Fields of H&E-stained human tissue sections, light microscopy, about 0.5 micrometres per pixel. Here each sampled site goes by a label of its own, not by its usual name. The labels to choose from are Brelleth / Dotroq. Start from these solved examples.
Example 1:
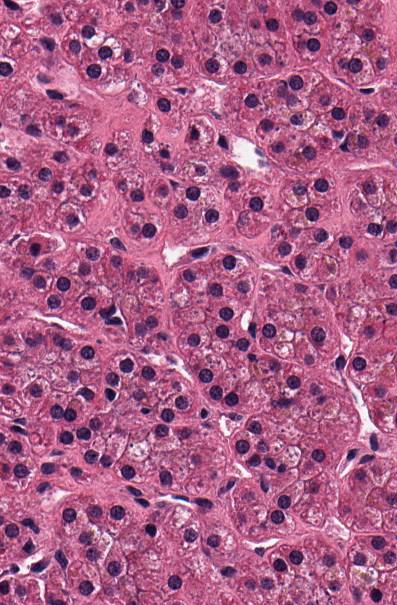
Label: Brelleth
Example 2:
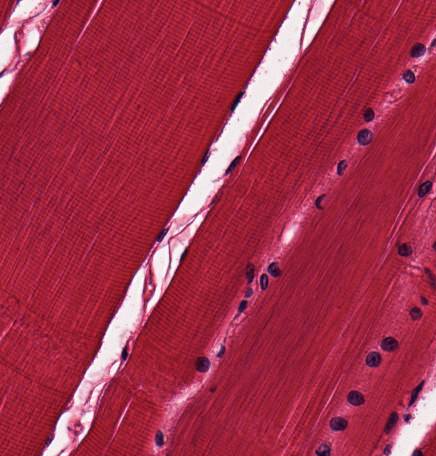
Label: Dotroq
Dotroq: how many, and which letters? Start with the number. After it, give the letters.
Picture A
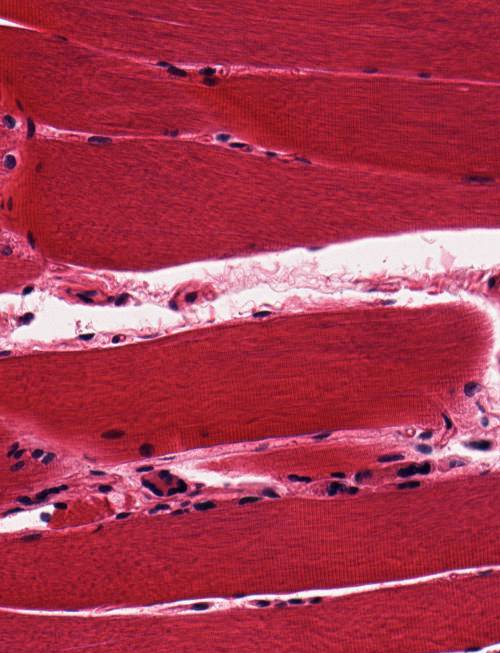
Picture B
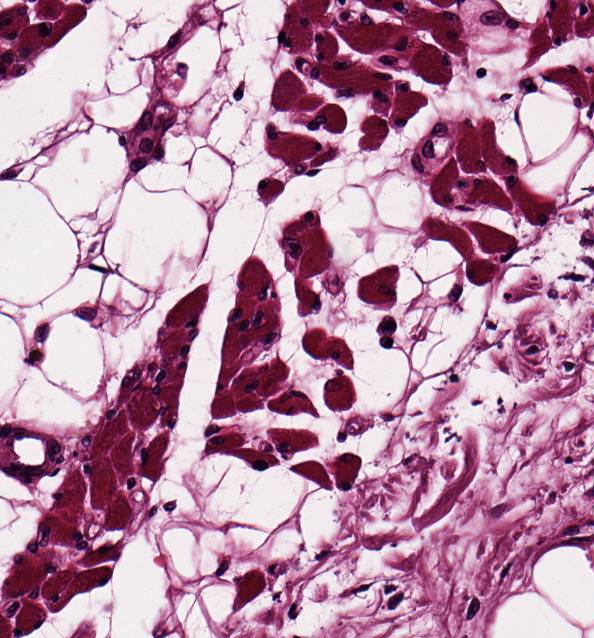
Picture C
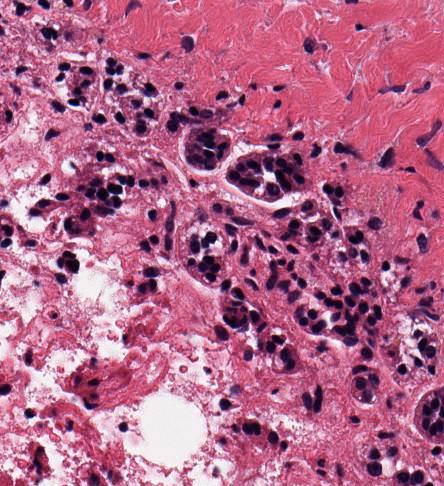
2, namely A, B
